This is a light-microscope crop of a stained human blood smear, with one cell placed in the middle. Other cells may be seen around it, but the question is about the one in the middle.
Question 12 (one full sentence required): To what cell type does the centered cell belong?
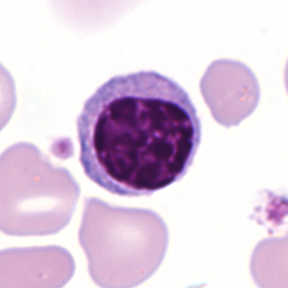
In the center of this field lies a normoblast.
